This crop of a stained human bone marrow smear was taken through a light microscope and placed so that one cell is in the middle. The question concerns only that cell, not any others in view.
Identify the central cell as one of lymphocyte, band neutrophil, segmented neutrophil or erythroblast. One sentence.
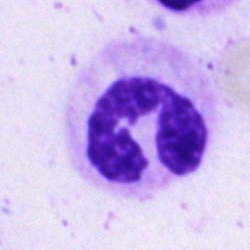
The centrally placed cell is classified as a segmented neutrophil.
